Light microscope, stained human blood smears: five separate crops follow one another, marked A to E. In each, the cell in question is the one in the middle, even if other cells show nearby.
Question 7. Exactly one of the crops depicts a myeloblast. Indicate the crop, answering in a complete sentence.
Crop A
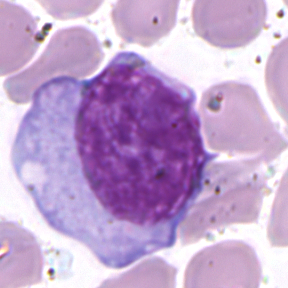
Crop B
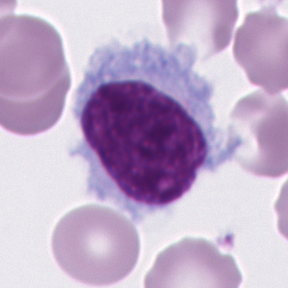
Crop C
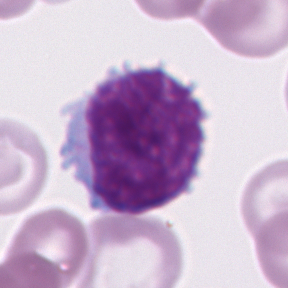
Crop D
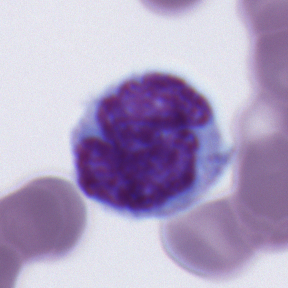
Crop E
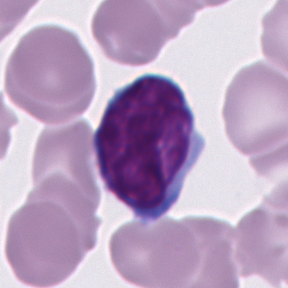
The one crop in the set with a myeloblast is crop C.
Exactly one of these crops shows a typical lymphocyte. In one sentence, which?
Of the crops given, a typical lymphocyte is found in crop E.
